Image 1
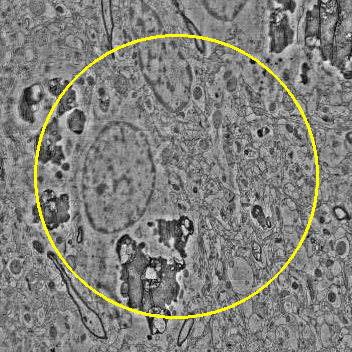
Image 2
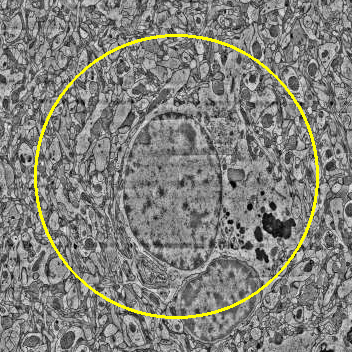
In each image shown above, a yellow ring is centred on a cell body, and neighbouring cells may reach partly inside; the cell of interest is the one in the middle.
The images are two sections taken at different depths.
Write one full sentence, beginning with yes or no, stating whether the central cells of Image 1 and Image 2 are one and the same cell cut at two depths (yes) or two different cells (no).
No, the two rings enclose two cells that are not the same.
